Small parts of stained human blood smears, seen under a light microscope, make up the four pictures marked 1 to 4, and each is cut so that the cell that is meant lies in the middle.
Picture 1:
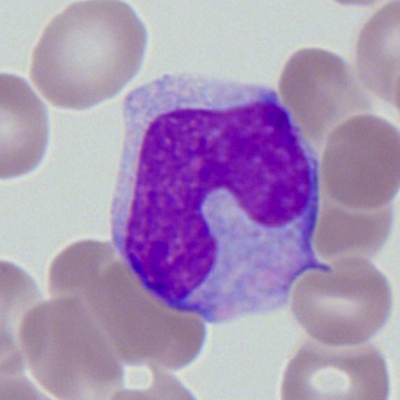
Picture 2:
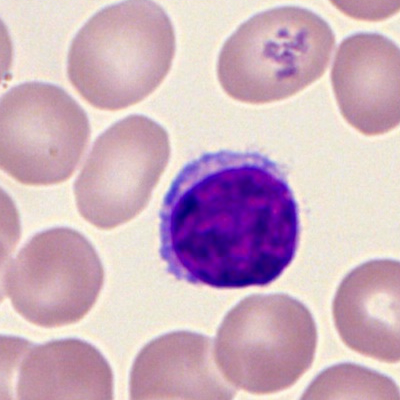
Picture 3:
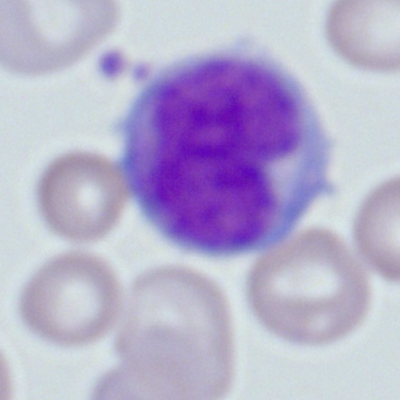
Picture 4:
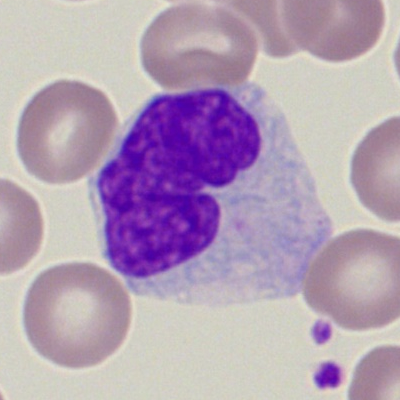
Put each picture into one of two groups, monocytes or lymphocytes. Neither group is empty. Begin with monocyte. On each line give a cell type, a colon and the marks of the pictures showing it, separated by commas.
monocyte: 1, 3, 4
lymphocyte: 2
